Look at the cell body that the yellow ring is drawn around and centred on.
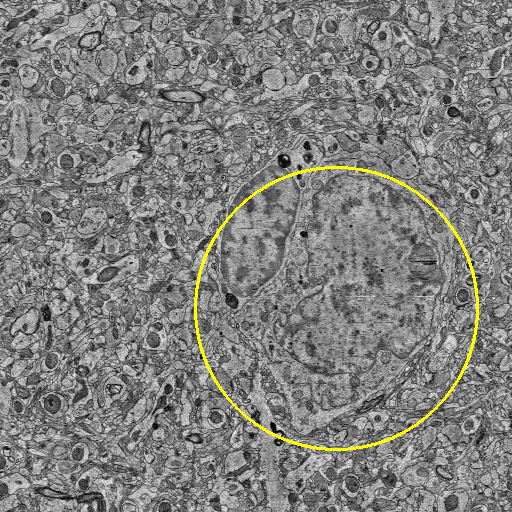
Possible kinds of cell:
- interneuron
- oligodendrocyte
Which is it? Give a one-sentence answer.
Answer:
The centred cell body is that of an interneuron.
